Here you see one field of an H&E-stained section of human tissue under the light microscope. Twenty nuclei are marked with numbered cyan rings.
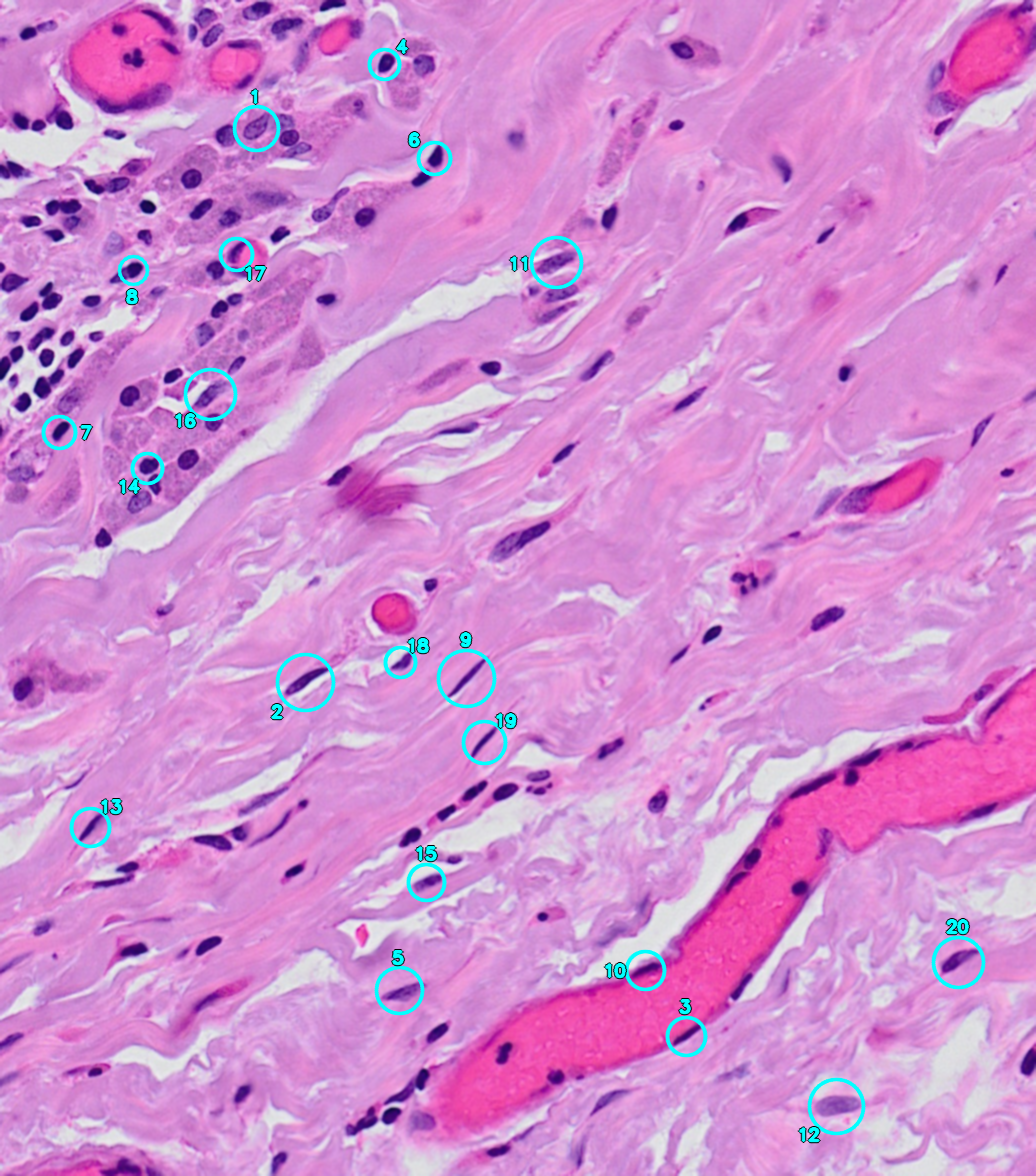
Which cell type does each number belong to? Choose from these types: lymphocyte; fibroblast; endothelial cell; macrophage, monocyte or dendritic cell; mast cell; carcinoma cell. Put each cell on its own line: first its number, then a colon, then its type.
1: macrophage, monocyte or dendritic cell
2: fibroblast
3: endothelial cell
4: lymphocyte
5: fibroblast
6: lymphocyte
7: lymphocyte
8: lymphocyte
9: fibroblast
10: endothelial cell
11: fibroblast
12: fibroblast
13: fibroblast
14: lymphocyte
15: fibroblast
16: fibroblast
17: endothelial cell
18: fibroblast
19: fibroblast
20: fibroblast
